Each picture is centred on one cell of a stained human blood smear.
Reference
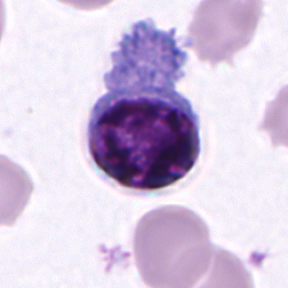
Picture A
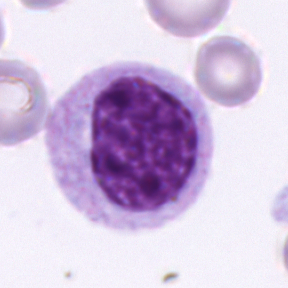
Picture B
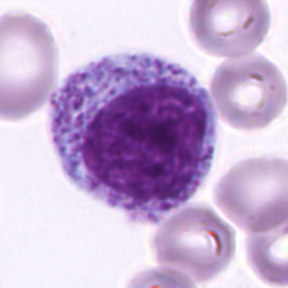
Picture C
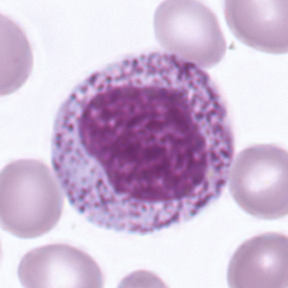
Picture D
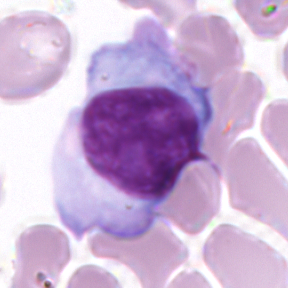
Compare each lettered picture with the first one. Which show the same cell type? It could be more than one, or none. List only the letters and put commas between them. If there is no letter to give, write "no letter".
D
